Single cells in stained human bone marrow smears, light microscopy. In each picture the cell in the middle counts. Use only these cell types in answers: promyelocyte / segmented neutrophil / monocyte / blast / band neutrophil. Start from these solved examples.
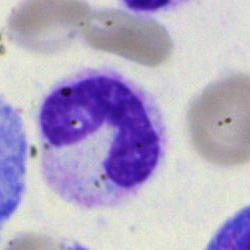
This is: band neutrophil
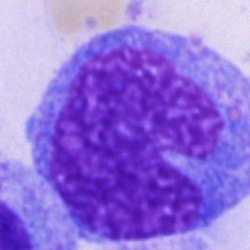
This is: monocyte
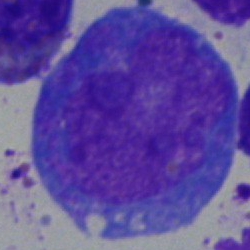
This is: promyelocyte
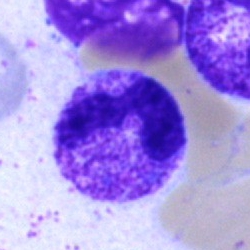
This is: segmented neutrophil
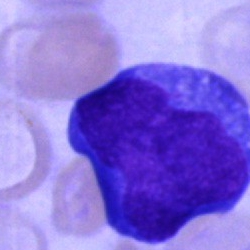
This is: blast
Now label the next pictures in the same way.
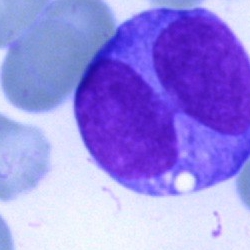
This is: blast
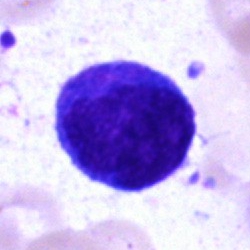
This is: blast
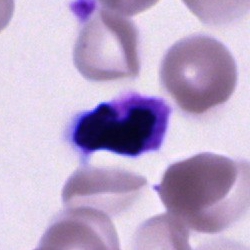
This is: segmented neutrophil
